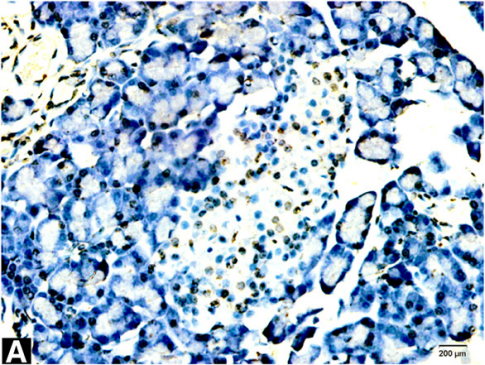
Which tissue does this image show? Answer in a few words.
Pancreas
